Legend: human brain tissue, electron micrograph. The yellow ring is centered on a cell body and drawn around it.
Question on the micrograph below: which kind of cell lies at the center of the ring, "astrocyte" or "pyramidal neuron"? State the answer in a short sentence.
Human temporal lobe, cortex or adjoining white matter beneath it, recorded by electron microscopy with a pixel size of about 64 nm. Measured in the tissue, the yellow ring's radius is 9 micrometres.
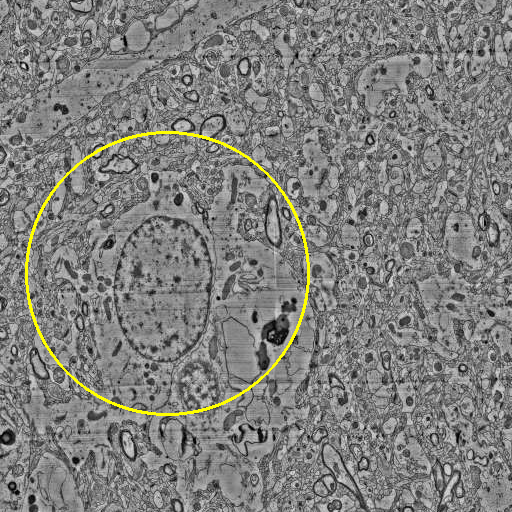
At the center of the ring lies an astrocyte.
